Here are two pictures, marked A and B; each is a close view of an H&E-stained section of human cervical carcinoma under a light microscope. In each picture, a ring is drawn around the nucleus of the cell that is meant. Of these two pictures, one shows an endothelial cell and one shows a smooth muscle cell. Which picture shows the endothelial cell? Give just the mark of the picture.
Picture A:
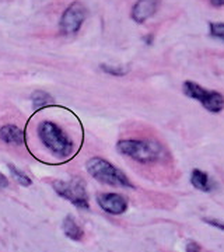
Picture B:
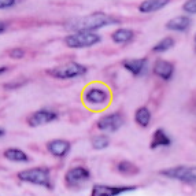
A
